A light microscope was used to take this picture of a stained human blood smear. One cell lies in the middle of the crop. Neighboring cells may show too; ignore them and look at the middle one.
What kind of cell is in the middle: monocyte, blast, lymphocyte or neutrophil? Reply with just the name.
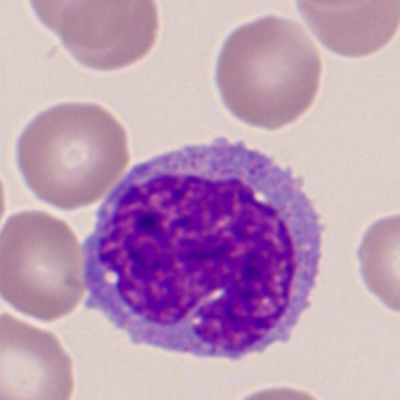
monocyte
